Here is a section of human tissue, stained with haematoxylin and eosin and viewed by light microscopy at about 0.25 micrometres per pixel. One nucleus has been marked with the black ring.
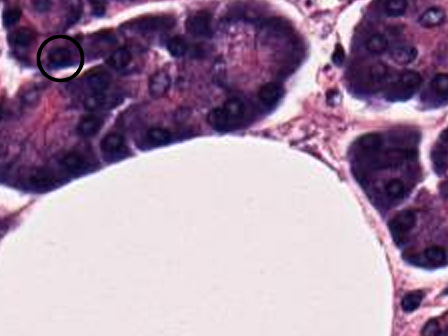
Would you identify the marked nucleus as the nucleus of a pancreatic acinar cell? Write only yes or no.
yes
